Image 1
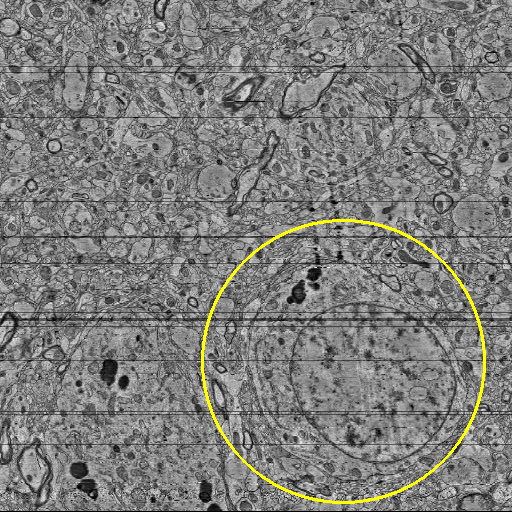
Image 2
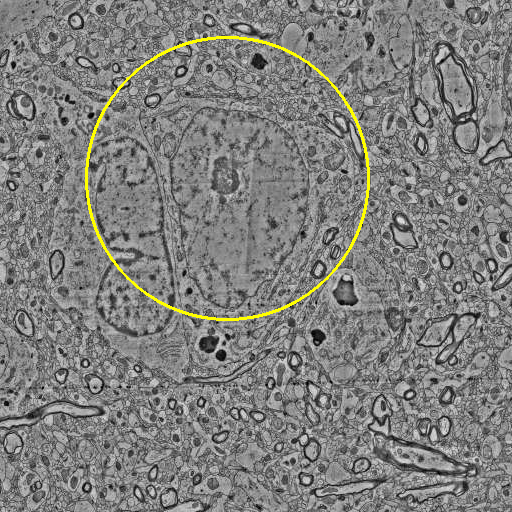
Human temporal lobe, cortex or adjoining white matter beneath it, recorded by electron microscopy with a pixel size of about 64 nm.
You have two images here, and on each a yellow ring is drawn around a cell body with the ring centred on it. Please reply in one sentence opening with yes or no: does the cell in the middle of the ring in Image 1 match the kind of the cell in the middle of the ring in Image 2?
Yes, the two images show cells of one kind at the centres of their rings.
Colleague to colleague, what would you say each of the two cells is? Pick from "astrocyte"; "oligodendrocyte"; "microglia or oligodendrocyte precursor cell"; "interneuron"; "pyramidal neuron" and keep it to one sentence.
Each of the two cells is a pyramidal neuron.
